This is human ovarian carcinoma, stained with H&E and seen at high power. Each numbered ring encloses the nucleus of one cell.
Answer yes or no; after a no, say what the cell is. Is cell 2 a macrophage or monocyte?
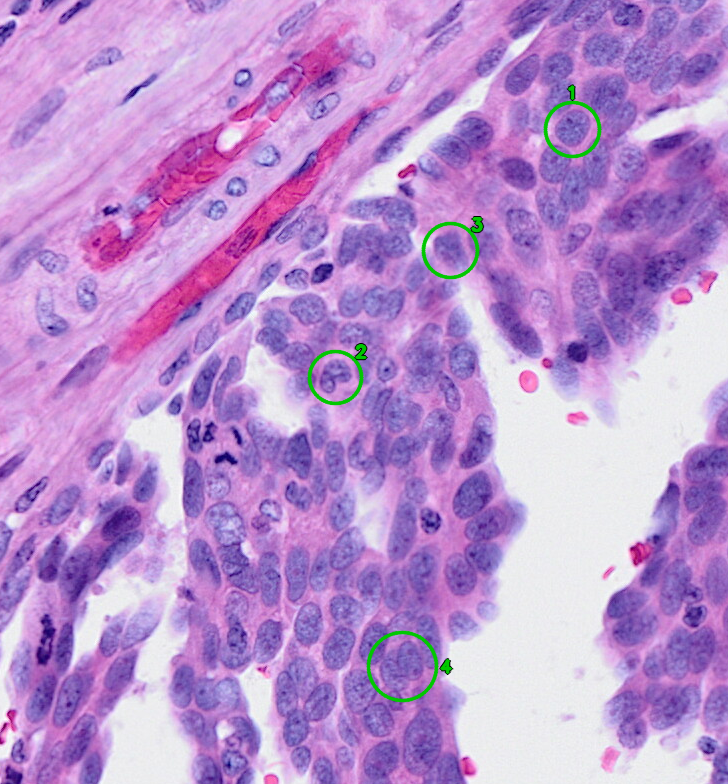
Yes.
